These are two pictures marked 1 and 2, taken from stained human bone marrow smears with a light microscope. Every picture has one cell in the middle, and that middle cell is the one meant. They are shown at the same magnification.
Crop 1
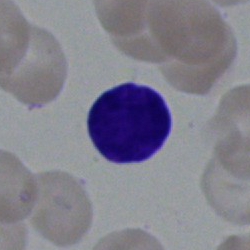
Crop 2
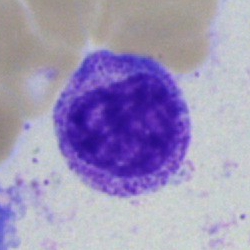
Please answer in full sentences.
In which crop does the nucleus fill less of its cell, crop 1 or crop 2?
In crop 2 the nucleus takes up the smaller part of its cell.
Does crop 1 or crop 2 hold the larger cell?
Larger is the cell in crop 2, at roughly 2.5 times the area of the other.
